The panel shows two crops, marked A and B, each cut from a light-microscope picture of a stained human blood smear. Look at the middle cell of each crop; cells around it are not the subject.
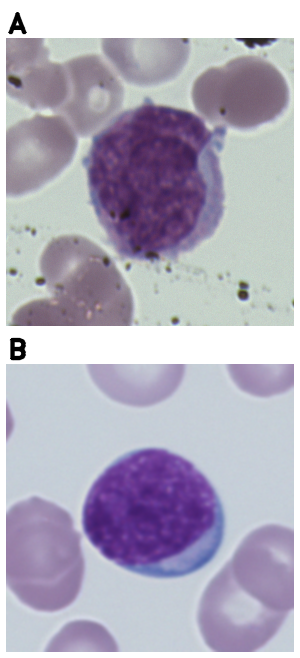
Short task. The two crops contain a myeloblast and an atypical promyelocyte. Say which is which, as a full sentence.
The cell that crop A centres on is an atypical promyelocyte, and the cell that crop B centres on is a myeloblast.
